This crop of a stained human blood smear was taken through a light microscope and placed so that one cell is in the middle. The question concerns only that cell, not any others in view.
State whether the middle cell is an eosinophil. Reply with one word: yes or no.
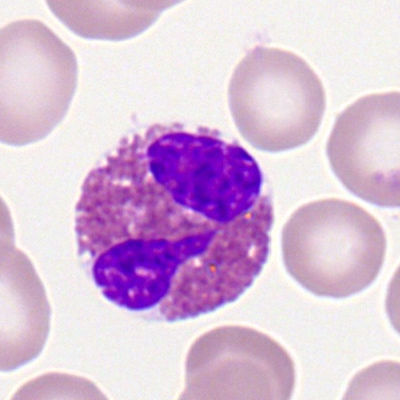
yes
